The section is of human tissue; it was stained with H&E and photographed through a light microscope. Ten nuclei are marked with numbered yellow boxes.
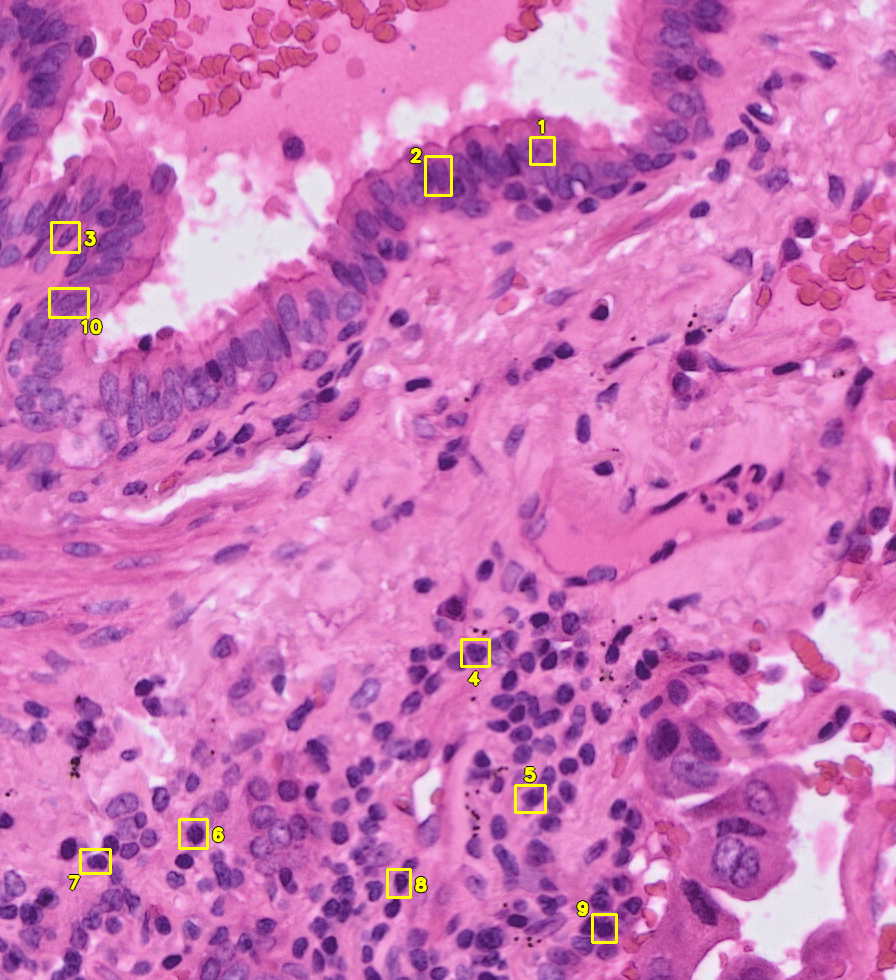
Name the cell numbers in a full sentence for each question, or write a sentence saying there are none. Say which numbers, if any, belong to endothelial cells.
Across all the numbered cells, no endothelial cells are present.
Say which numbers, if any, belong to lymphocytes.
Here, the cells that carry numbers 4, 5, 6, 7, 8 and 9 are lymphocytes.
